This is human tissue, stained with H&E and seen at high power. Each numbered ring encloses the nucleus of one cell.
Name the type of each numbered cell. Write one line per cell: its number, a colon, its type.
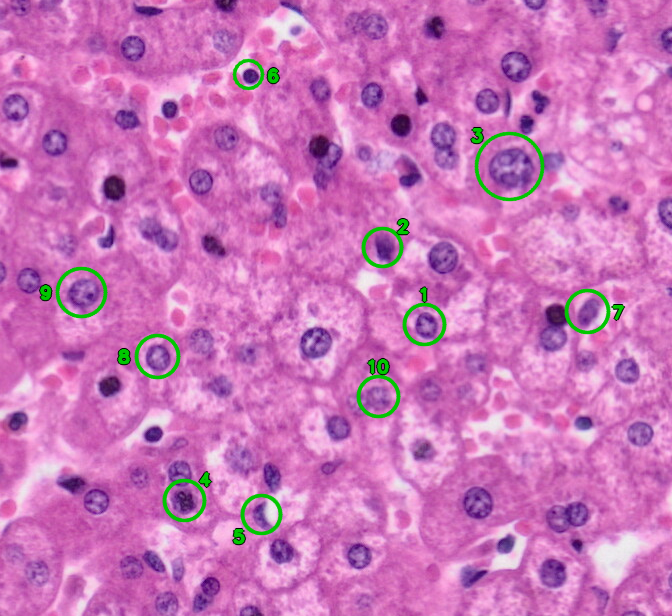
1: hepatocyte
2: fibroblast or stellate cell
3: hepatocyte
4: hepatocyte
5: endothelial cell
6: lymphocyte
7: Kupffer cell
8: hepatocyte
9: hepatocyte
10: hepatocyte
